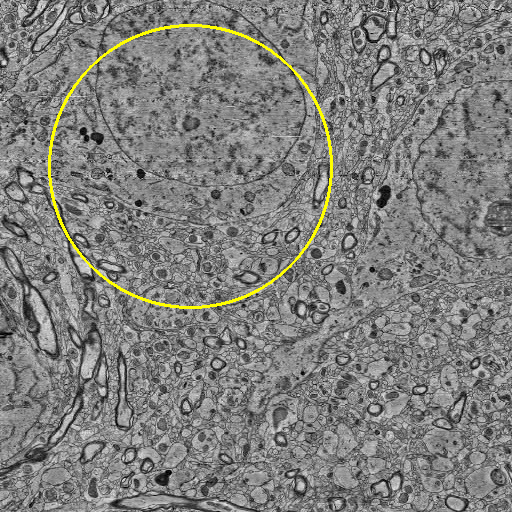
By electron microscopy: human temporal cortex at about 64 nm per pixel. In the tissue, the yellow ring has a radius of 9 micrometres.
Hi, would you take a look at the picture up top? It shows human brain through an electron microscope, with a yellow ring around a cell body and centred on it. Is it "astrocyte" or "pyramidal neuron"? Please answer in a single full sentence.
The best fit for the cell in the middle of the ring is a pyramidal neuron, I reckon.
